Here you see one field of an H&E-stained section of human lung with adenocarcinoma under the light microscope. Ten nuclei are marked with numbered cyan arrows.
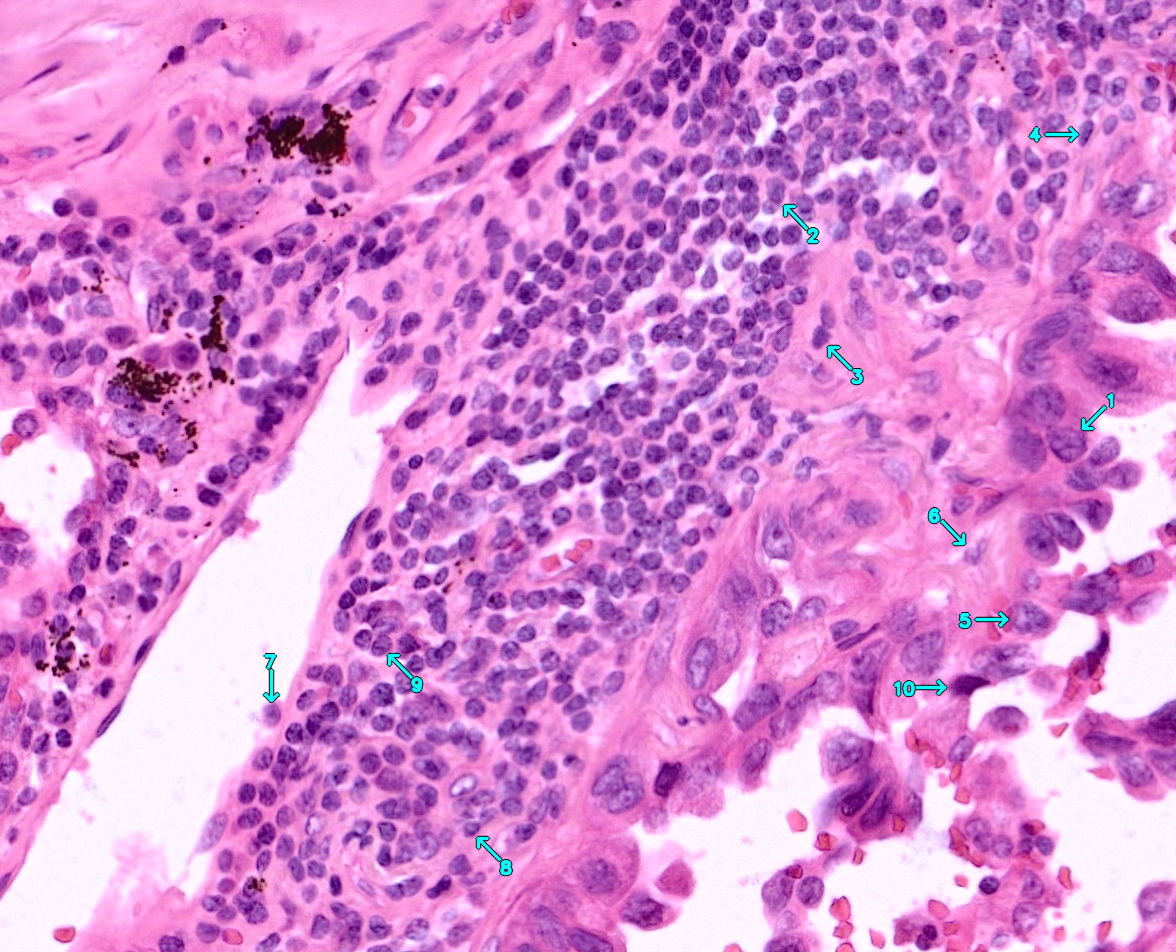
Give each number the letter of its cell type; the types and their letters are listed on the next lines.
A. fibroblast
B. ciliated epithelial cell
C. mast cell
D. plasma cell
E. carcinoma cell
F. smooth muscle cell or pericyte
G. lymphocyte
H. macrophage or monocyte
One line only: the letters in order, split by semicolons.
E; G; G; G; E; A; G; G; G; E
